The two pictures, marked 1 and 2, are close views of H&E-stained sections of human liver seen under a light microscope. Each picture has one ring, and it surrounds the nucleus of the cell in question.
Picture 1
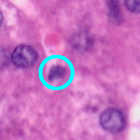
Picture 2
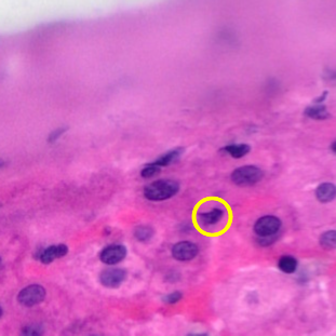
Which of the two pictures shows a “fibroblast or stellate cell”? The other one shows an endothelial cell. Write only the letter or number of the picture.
2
